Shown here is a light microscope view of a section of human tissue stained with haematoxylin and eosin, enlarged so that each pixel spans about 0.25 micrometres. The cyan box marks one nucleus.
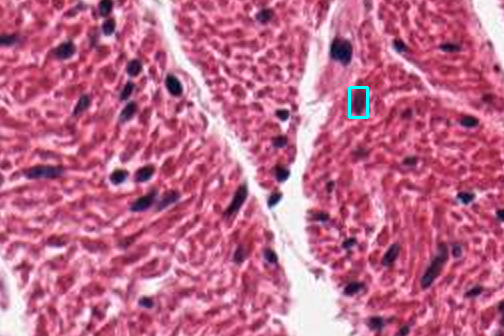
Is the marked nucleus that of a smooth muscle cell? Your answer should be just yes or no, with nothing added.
yes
